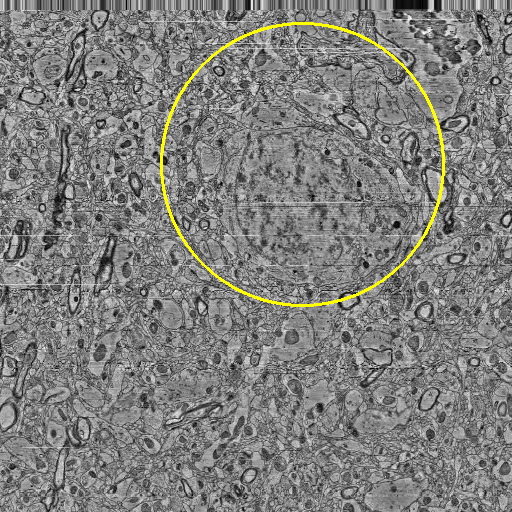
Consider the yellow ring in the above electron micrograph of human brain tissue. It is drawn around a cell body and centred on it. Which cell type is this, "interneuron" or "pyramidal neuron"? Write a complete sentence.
The cell in question is an interneuron.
